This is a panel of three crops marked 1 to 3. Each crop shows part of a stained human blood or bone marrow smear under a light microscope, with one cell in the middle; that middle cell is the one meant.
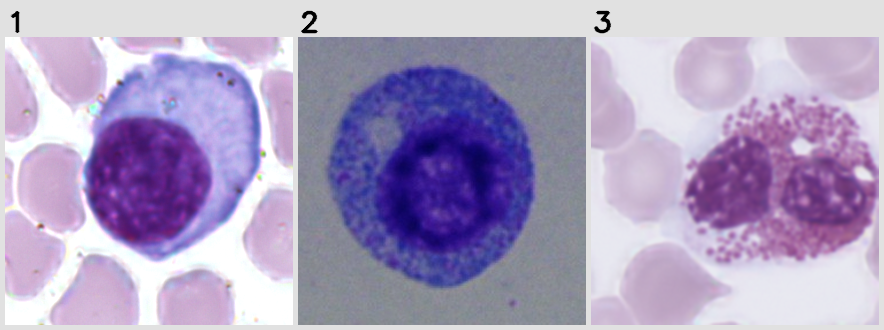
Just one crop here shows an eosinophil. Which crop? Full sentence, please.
Crop 3 is the crop featuring an eosinophil at its center.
